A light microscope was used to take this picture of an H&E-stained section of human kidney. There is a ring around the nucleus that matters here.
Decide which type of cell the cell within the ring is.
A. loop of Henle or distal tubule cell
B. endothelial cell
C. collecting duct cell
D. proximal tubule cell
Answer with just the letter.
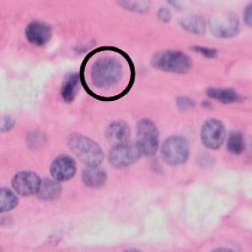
A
